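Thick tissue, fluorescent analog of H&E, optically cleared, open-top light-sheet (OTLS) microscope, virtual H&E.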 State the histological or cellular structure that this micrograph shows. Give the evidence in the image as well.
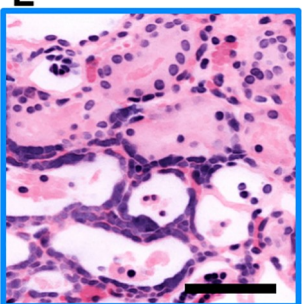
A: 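Many round and oval tubular profiles with open pale lumens. Pink interstitium lies between the tubules. On this evidence: Kidney tubules.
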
